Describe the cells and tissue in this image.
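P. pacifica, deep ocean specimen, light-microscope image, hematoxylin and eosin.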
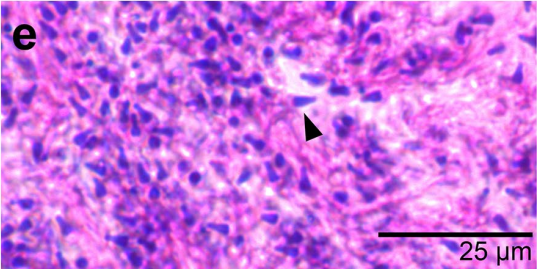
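This is a high-power view inside a spermatocyst, packed with spermatozoa at the latest stage of sperm development. The nuclei stain dark purple and are small and compact. Many are no longer round but taper to a point, giving a cone or teardrop shape. They lie crowded together, often in loose streams. Between them runs a mesh of pale pink fibrous material, the sperm tails, which gives the background a streaky, wispy texture. Almost no cytoplasm can be seen around the nuclei, as is typical of condensed mature sperm.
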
